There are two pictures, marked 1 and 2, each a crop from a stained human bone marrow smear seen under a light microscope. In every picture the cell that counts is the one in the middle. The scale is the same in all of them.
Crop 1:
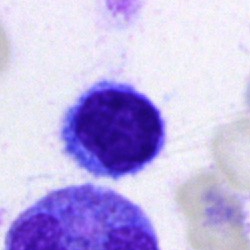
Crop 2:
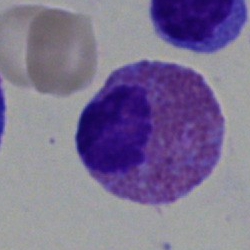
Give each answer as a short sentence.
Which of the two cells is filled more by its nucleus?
The nucleus fills more of the cell in crop 1 than in crop 2.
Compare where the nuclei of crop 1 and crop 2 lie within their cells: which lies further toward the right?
It is the nucleus in crop 1 that lies further toward the right of its cell.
